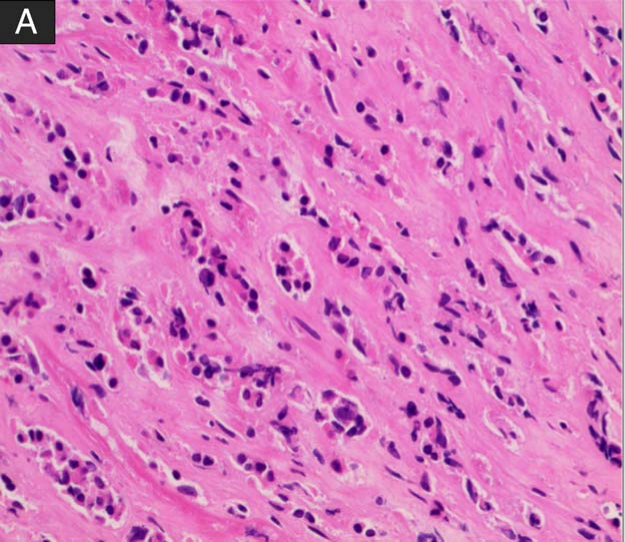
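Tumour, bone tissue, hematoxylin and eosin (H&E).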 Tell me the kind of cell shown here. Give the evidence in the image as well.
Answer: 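Small clusters of cells with dark, crowded nuclei lie scattered in a pink fibrous background. Some clusters form small nests and gland-like rings.
Conclusion: atypical neoplastic epithelial cells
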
